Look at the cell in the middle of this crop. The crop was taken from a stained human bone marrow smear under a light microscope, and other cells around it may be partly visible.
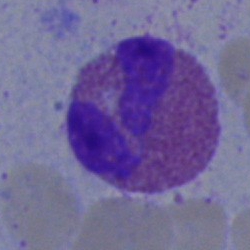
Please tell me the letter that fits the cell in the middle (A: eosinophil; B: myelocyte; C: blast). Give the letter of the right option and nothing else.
A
